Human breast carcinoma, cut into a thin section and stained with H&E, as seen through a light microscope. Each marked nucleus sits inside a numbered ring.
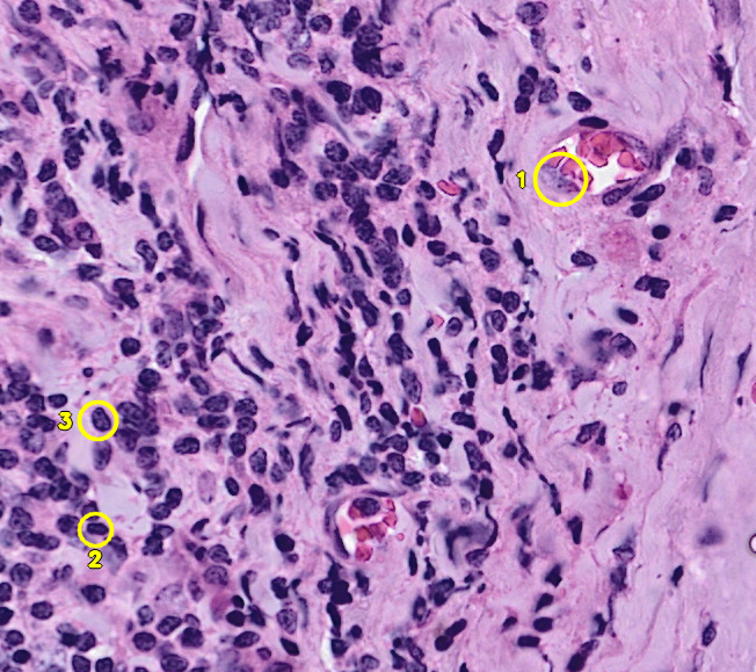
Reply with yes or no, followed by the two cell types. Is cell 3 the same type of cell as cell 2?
Yes, cells 3 and 2 both belong among the lymphocytes.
